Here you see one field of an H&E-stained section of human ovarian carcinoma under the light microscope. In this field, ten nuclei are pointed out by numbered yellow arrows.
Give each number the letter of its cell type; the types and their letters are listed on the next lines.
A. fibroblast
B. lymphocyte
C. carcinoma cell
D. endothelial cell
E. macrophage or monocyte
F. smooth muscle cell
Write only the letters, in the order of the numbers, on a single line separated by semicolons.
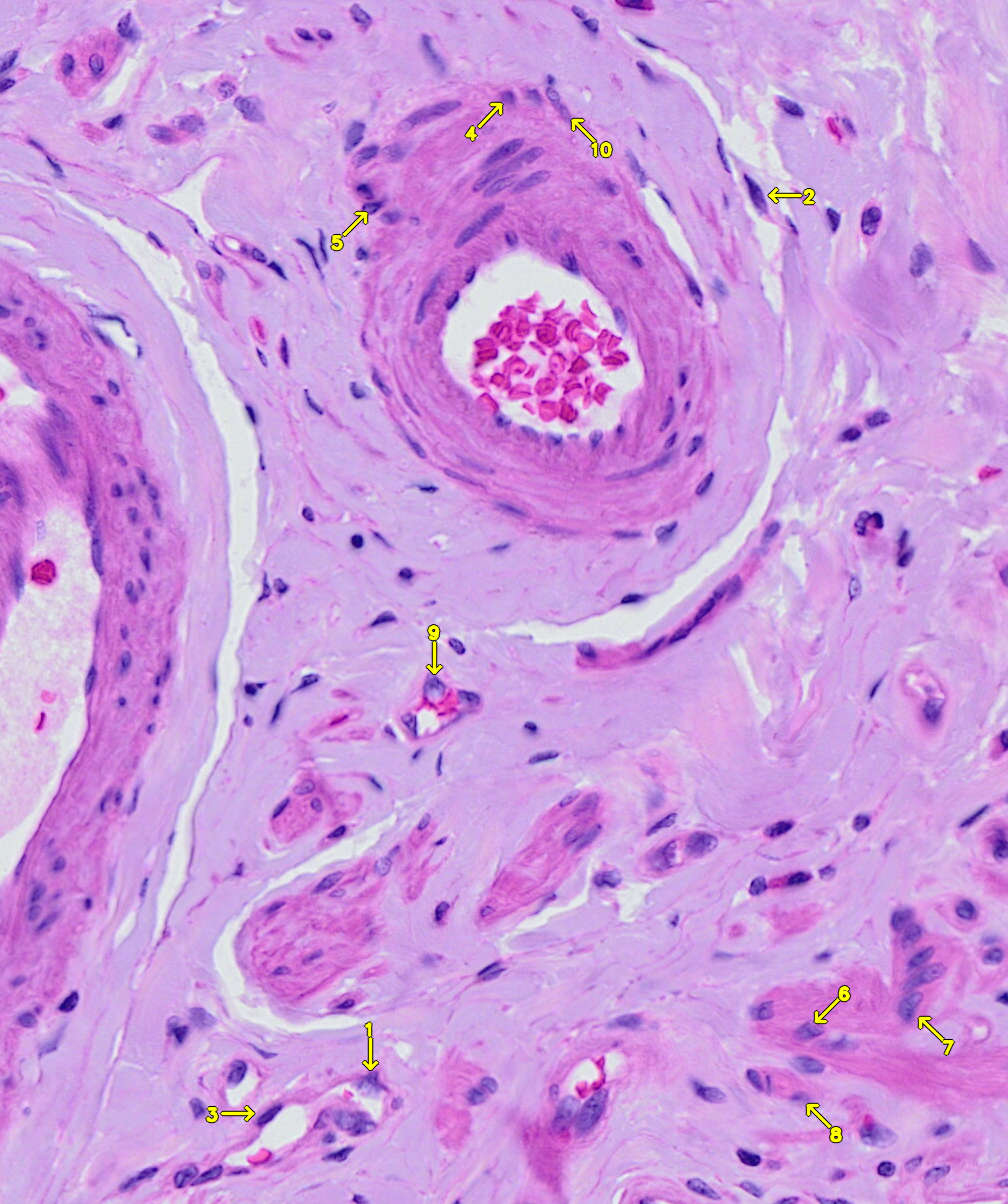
D; A; D; F; F; F; F; F; D; F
